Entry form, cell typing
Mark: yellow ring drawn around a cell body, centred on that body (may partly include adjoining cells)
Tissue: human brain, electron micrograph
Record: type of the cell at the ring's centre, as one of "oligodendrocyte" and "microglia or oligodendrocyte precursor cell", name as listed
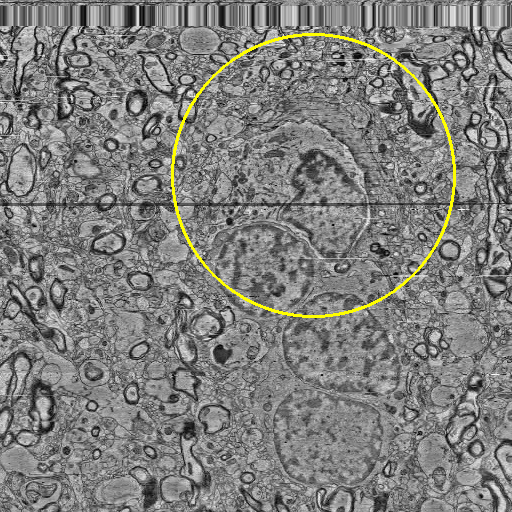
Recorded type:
microglia or oligodendrocyte precursor cell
